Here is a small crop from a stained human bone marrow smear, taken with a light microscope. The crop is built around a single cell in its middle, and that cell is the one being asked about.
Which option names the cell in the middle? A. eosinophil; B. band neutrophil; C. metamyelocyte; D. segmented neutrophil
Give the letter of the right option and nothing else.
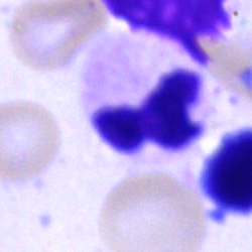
D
